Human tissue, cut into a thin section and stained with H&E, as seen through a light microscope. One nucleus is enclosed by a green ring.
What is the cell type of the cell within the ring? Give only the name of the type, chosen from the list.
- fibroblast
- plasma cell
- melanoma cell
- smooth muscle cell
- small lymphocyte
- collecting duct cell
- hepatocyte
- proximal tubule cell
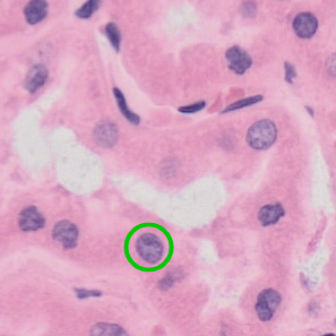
proximal tubule cell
